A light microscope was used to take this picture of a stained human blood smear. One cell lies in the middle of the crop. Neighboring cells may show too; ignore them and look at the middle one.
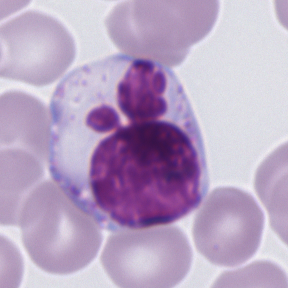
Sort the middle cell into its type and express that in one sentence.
The central element of this crop is a cell, namely a large granular lymphocyte.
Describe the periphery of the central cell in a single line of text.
The outline traces a smooth curve with no projections along it.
